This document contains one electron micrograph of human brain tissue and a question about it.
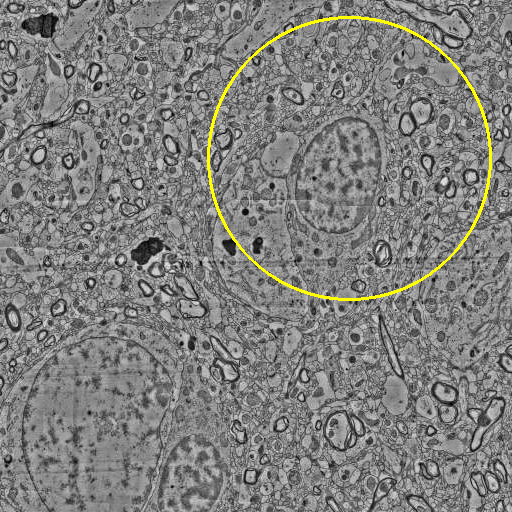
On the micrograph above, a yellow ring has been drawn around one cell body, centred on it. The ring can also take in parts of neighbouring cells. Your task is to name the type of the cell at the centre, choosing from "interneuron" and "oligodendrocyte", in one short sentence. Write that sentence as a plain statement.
Here the ring is centred on an oligodendrocyte.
